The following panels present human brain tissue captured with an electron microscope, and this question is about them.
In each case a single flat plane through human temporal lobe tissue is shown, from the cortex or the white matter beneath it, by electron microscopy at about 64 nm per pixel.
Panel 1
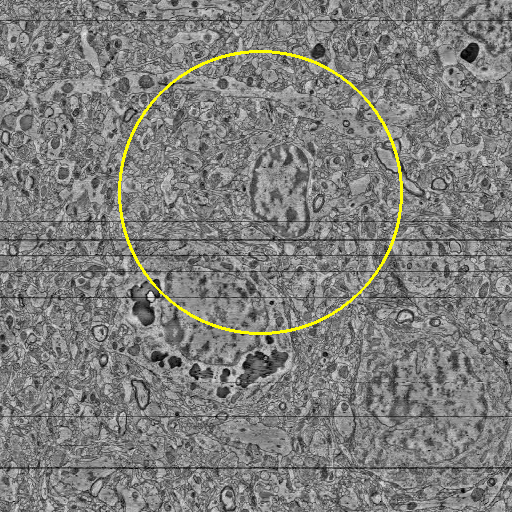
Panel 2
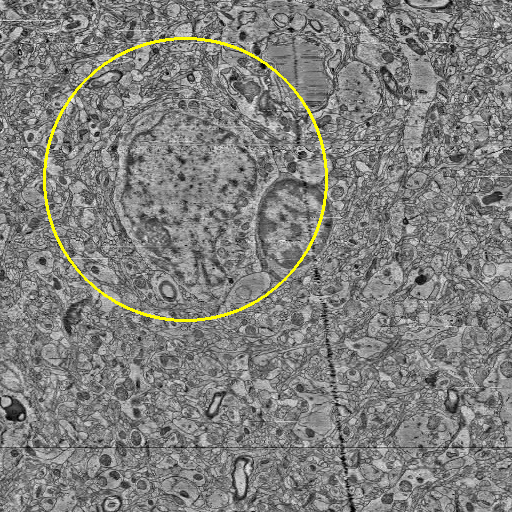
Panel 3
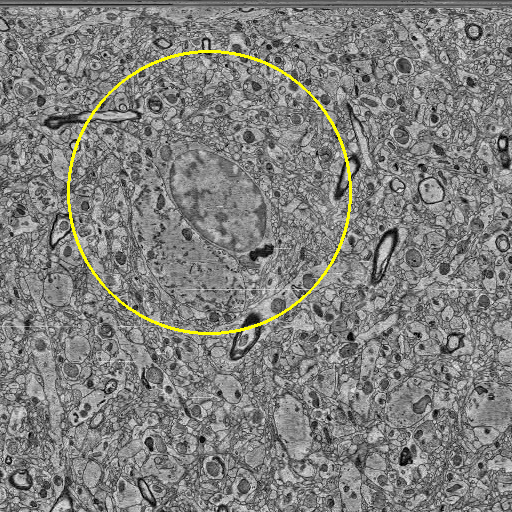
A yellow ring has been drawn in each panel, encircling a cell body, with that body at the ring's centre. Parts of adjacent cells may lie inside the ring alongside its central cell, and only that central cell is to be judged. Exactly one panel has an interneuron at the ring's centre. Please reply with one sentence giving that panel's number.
The ring whose central cell fits the description is the one in panel 2.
